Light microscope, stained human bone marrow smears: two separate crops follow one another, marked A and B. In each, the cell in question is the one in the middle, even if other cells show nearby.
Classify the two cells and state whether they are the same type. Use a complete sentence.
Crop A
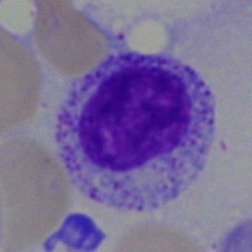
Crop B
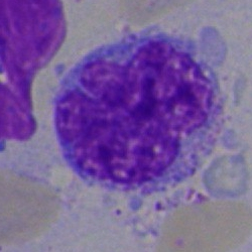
No, a myelocyte lies at the centre of crop A, and a monocyte lies at the centre of crop B.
